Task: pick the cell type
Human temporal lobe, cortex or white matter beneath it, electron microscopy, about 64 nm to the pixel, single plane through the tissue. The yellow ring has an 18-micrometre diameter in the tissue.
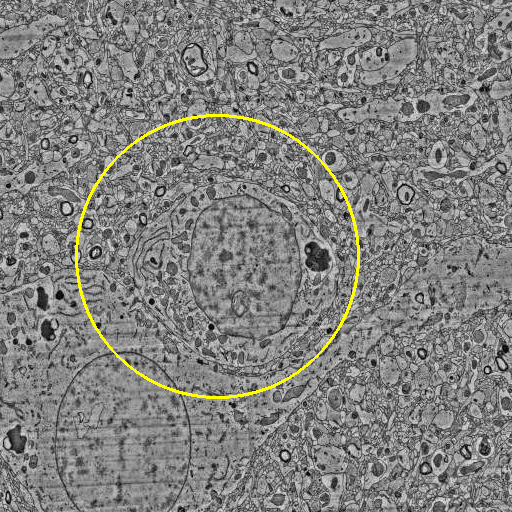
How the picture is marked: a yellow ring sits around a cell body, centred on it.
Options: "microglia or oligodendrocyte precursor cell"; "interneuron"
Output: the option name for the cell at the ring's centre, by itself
interneuron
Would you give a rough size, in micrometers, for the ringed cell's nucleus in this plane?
Roughly 9 micrometres by 7 micrometres, in this plane.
